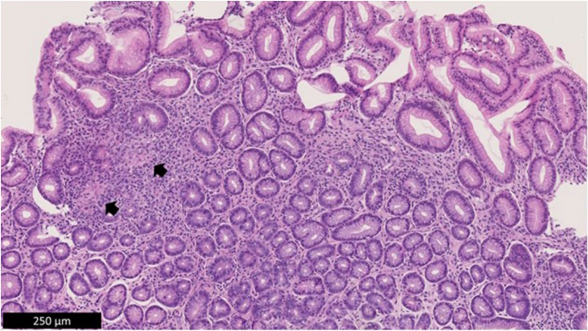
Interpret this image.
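This is gastric antral mucosa with many tubular glands, mostly cut in cross section, lined by columnar mucin-containing epithelium with basal purple nuclei. The lamina propria between the glands is densely filled with small round mononuclear inflammatory cells with dark purple nuclei. Left of centre, two small, poorly circumscribed pale pink aggregates of cells with paler nuclei form non-necrotic granulomas within the inflamed lamina propria. No central necrosis is seen in these aggregates. The surface foveolar epithelium runs along the top edge with some dilated, irregular pits.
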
